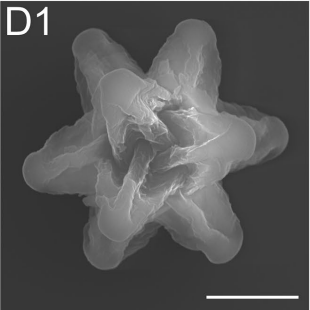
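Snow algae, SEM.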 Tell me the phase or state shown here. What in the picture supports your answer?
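The outline is star-shaped with a crumpled central region.
Conclusion: star form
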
